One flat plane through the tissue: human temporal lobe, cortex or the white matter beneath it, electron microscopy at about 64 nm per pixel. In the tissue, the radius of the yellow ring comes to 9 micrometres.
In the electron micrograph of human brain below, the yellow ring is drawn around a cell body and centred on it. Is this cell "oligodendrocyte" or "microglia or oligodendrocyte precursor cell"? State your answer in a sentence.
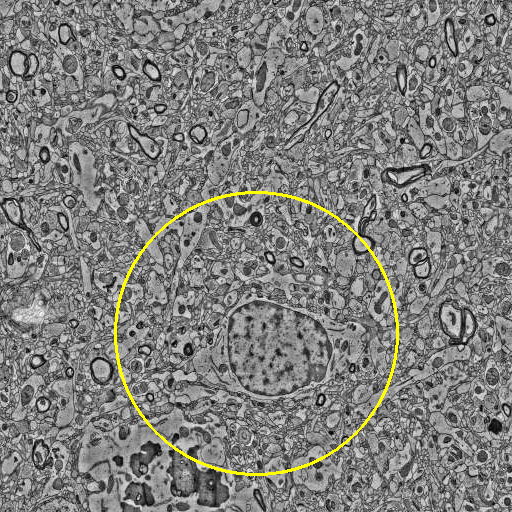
The cell in the middle of the ring is a microglial cell or oligodendrocyte precursor cell.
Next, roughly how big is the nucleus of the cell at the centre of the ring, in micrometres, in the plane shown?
In this plane the nucleus measures roughly 7 by 6 micrometers.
